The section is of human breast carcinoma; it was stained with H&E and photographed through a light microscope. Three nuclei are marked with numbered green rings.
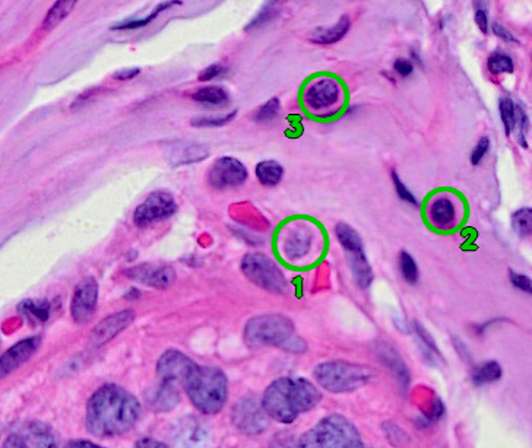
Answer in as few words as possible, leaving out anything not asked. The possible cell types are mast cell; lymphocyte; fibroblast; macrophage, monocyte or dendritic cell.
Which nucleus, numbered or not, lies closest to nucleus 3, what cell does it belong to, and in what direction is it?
a fibroblast, below and to the right of nucleus 3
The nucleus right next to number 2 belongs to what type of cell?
fibroblast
